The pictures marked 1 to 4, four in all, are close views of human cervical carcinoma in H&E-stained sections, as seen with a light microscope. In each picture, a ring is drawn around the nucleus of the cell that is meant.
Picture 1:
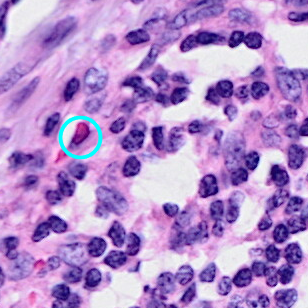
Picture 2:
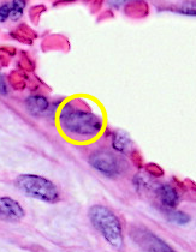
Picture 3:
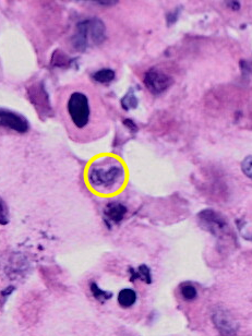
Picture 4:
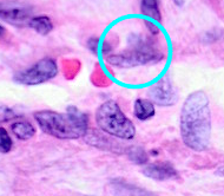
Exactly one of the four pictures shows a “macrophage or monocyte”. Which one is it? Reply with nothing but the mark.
3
